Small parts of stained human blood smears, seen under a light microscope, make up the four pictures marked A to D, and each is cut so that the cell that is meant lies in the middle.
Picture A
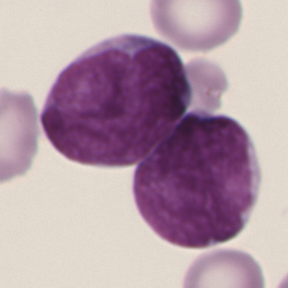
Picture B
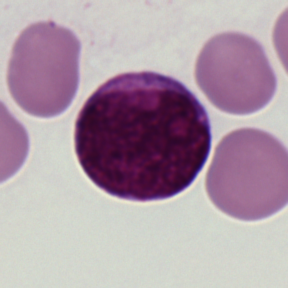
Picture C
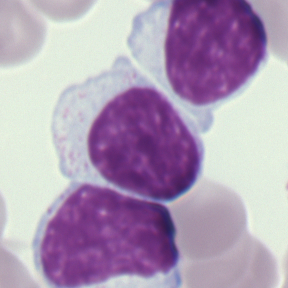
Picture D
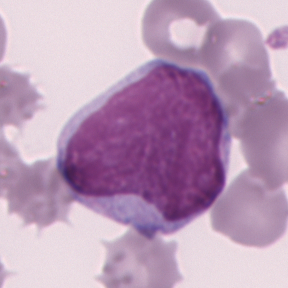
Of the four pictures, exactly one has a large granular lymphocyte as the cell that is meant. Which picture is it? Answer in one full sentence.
It is picture C that shows the large granular lymphocyte.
